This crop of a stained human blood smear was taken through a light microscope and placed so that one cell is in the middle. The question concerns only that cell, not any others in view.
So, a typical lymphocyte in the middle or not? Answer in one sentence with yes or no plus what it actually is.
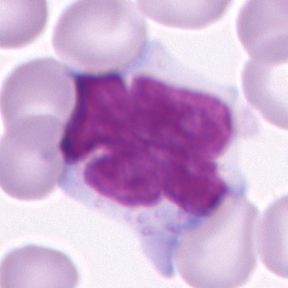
No, the centred cell is a large granular lymphocyte instead of a typical lymphocyte.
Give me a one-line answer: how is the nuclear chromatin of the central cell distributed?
The chromatin here is fine and lacks any coarse clumps.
